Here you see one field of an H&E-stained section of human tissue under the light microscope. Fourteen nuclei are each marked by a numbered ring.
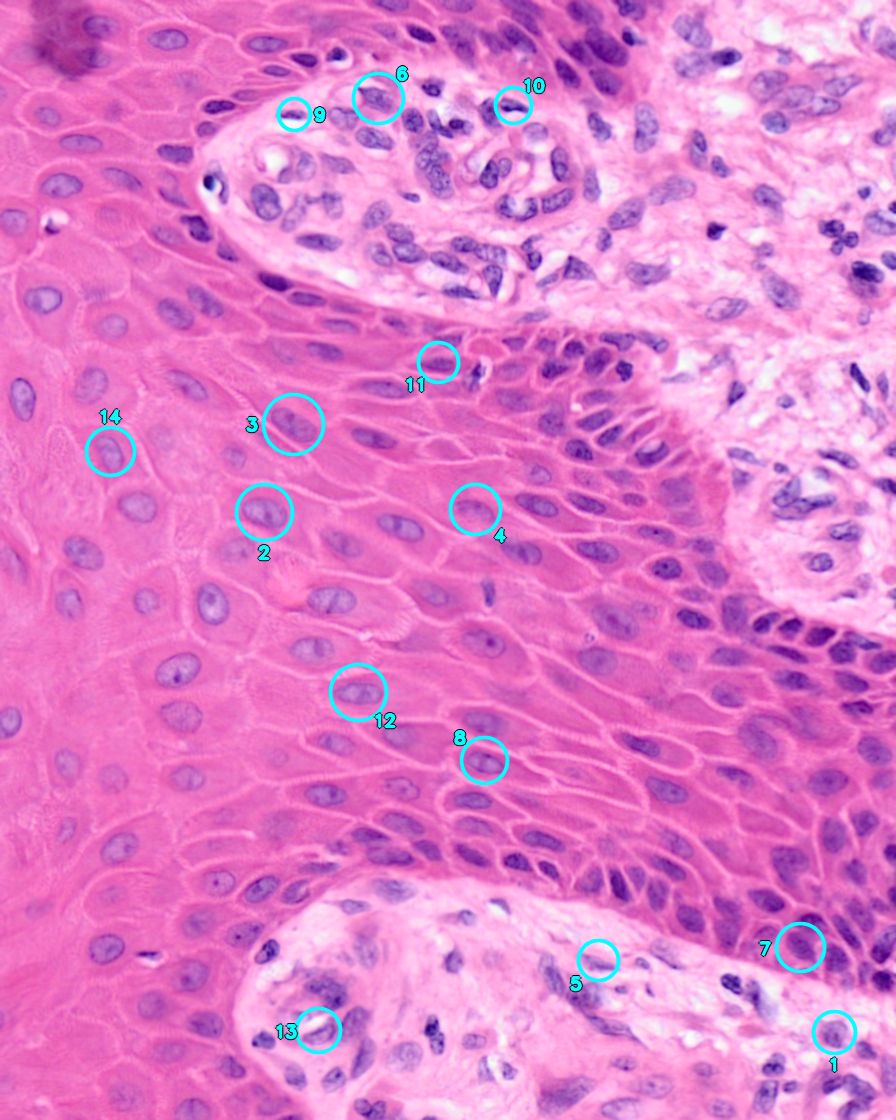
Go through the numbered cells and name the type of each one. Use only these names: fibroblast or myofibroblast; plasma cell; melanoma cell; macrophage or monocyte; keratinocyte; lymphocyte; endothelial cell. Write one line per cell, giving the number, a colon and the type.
1: fibroblast or myofibroblast
2: keratinocyte
3: keratinocyte
4: keratinocyte
5: fibroblast or myofibroblast
6: endothelial cell
7: keratinocyte
8: keratinocyte
9: fibroblast or myofibroblast
10: lymphocyte
11: keratinocyte
12: keratinocyte
13: endothelial cell
14: keratinocyte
